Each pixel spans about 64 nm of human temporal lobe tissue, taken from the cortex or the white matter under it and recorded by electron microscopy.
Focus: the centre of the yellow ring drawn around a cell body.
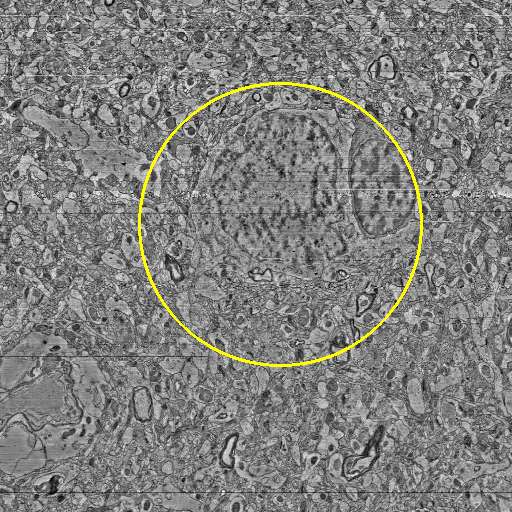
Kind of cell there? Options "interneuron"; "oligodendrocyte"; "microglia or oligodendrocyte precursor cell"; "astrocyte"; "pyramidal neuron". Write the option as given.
interneuron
